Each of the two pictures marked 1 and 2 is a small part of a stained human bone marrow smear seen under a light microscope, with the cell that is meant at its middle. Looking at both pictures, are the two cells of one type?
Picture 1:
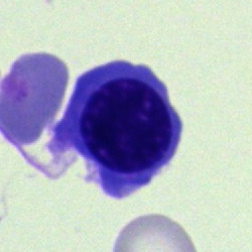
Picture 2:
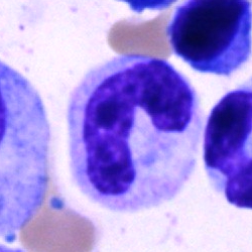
no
